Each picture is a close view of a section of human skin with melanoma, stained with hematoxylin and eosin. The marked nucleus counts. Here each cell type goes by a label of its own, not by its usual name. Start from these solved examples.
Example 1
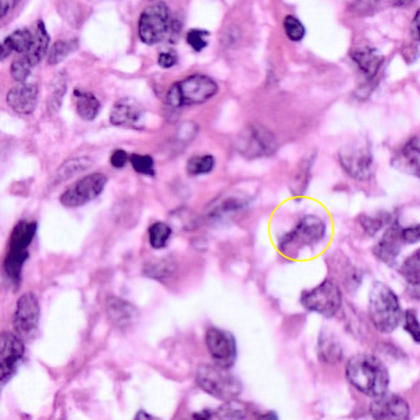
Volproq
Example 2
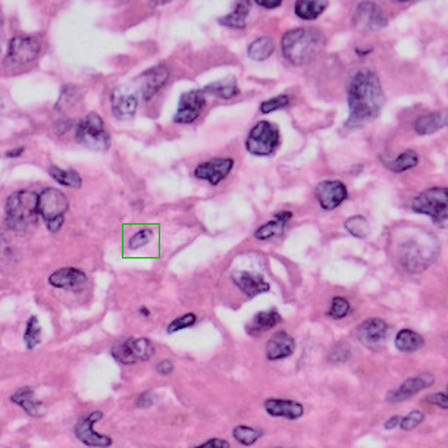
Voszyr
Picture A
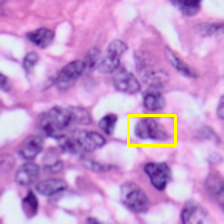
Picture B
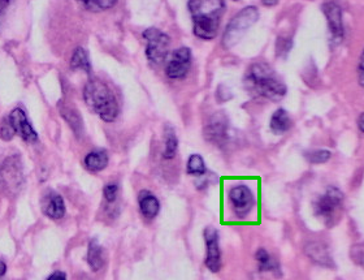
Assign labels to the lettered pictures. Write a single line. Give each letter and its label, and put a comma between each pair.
A Volproq, B Voszyr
